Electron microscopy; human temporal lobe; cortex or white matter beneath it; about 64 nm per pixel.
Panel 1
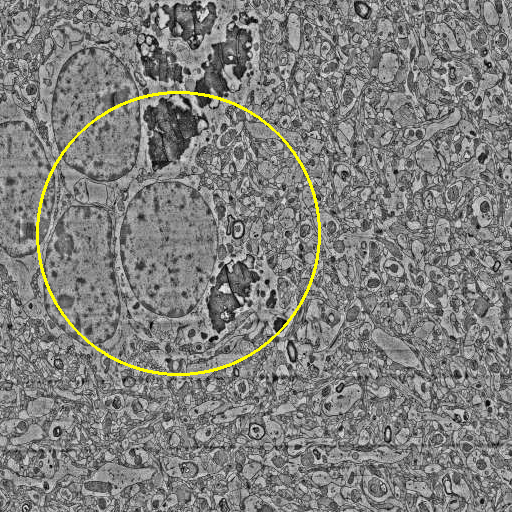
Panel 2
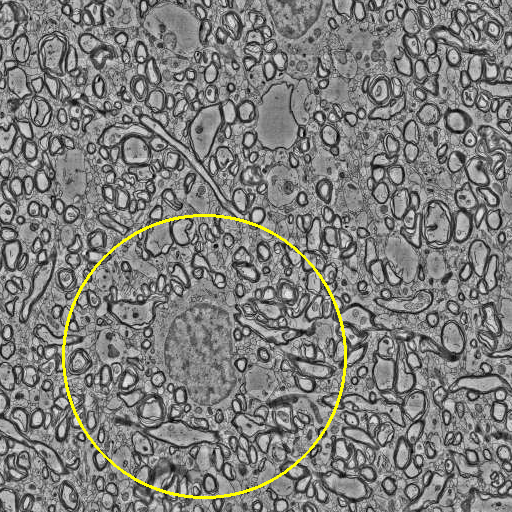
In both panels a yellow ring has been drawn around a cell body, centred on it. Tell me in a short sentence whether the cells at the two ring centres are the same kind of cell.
No, they are two kinds of cell.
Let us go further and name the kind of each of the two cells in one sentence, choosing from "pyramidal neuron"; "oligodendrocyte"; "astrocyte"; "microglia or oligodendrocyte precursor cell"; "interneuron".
The ring of the first picture is on an astrocyte, the ring of the second on an oligodendrocyte.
